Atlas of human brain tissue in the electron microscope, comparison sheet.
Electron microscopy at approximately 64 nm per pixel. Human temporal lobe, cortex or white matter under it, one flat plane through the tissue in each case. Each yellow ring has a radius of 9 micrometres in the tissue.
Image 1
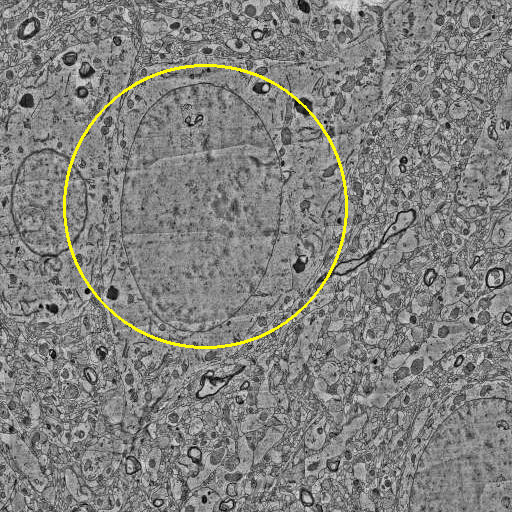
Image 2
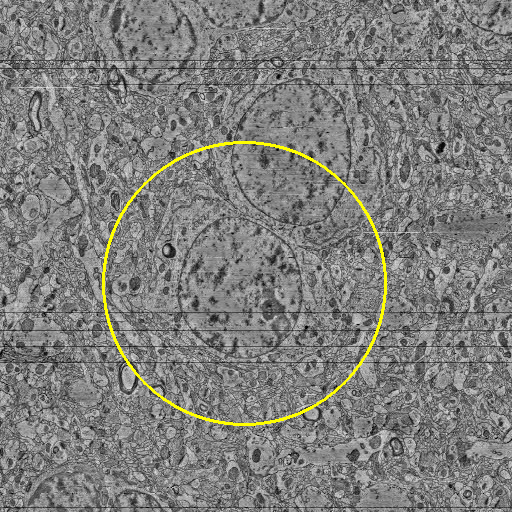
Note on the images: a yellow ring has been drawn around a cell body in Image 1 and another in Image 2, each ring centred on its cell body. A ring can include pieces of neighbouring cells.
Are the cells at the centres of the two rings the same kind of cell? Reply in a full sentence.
Yes, both cells are of the same kind.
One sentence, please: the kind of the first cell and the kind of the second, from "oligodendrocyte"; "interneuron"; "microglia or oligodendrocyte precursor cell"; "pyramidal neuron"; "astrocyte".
Each cell, in the first picture and the second, is a pyramidal neuron.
